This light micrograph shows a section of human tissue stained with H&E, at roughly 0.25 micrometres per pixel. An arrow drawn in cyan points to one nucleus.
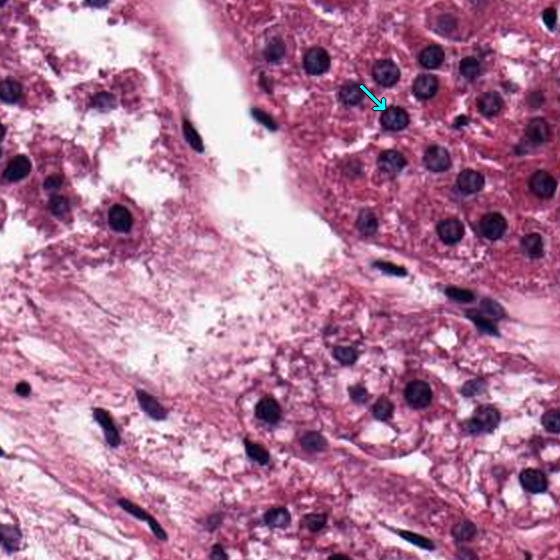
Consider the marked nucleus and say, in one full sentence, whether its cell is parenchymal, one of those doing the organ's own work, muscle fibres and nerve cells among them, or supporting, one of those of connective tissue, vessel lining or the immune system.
What the marked nucleus belongs to is a parenchymal cell, namely an adrenal cortical cell.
